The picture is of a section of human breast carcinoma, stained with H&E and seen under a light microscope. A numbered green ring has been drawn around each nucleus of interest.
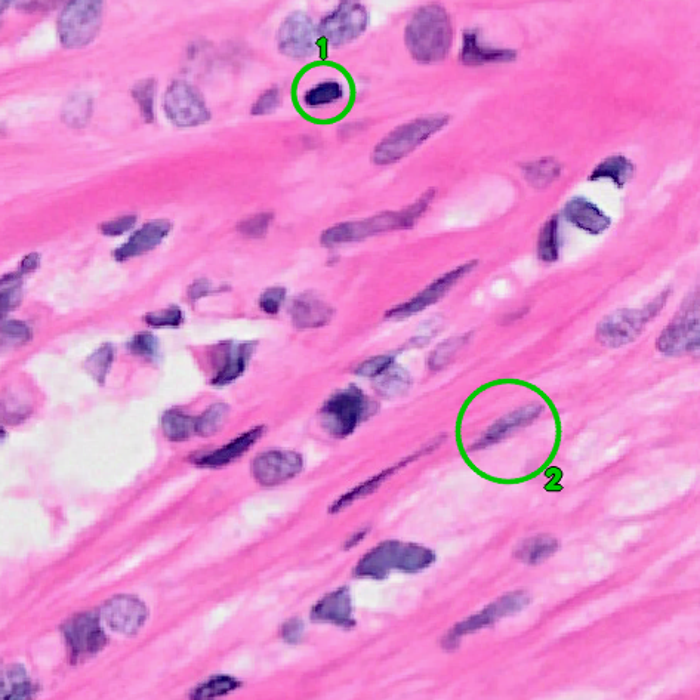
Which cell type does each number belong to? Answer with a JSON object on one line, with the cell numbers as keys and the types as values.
{"1": "lymphocyte", "2": "fibroblast"}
